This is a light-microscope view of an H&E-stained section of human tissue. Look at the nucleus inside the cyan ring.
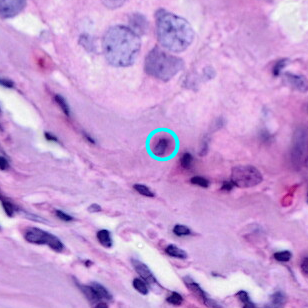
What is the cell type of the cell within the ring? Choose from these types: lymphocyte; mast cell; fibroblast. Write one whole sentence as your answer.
Cytologically, the cell within the ring is to be regarded as a mast cell.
